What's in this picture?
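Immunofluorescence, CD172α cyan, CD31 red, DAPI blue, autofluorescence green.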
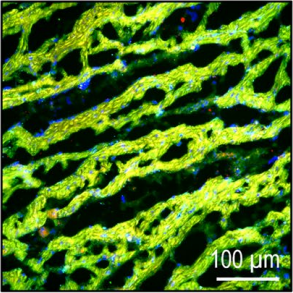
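This field of heart muscle is dominated by necrotic cardiomyocytes, which glow a bright yellow-green. The dead fibres form broad, wavy bands that run diagonally across the field. Between these bands lie dark, empty-looking gaps where the tissue has come apart. Only scattered blue nuclei are seen, and the fibres themselves show little of the orderly nuclear spacing of healthy muscle. A few small red and cyan specks lie at the edges of the bands.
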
